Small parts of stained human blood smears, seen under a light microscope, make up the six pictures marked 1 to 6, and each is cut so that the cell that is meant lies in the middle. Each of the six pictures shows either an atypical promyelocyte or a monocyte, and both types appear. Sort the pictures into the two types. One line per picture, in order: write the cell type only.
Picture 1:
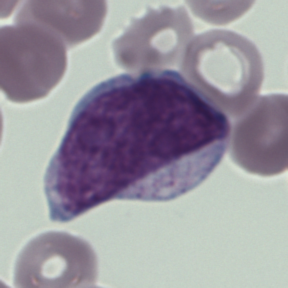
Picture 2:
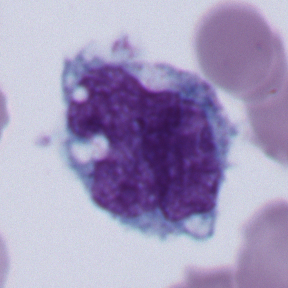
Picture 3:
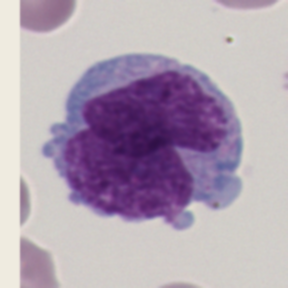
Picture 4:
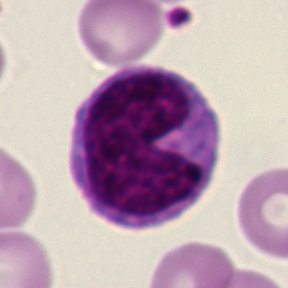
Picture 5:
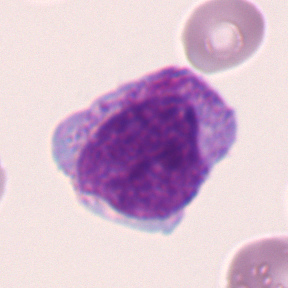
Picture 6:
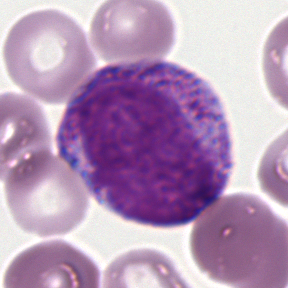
atypical promyelocyte
monocyte
atypical promyelocyte
monocyte
atypical promyelocyte
atypical promyelocyte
